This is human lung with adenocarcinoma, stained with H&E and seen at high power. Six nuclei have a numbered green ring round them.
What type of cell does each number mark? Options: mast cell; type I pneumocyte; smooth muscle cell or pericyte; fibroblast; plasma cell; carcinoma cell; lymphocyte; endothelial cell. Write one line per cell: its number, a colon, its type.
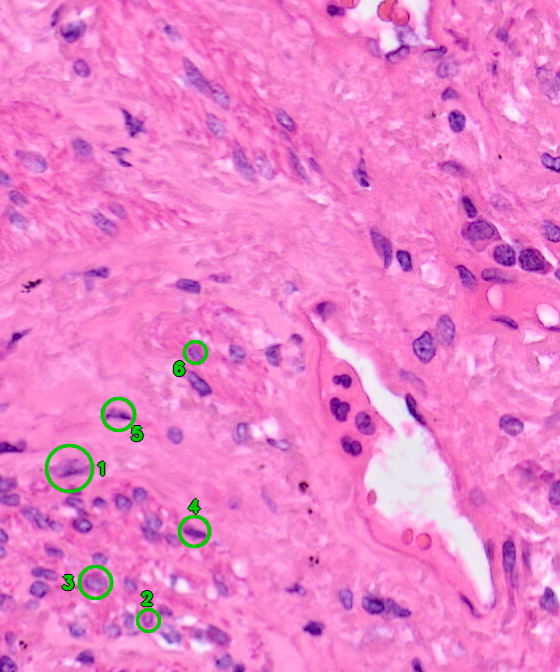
1: fibroblast
2: smooth muscle cell or pericyte
3: smooth muscle cell or pericyte
4: smooth muscle cell or pericyte
5: fibroblast
6: smooth muscle cell or pericyte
